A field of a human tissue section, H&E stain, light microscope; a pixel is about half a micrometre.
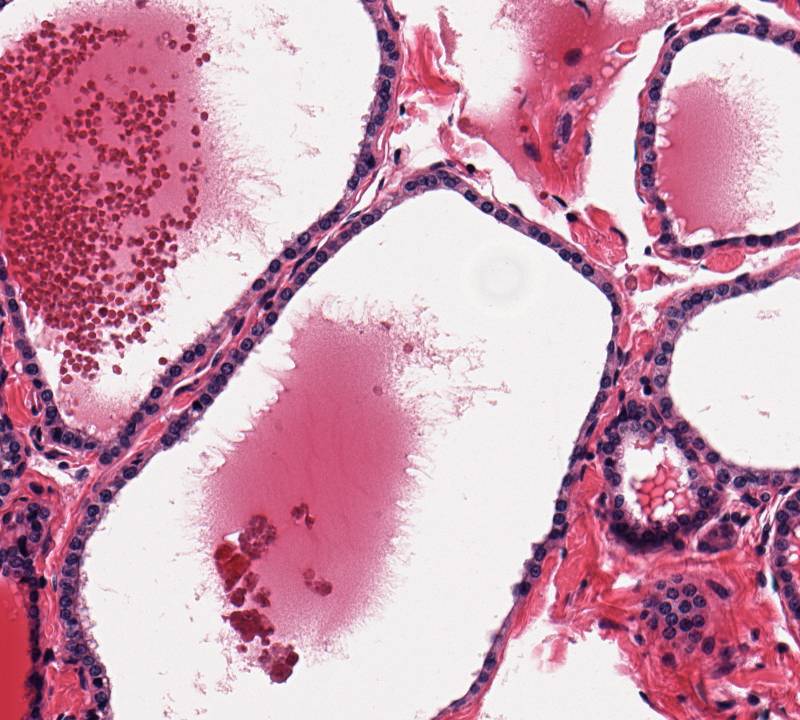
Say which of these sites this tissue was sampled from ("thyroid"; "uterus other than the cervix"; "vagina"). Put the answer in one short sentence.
The site this tissue was sampled from is the thyroid.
